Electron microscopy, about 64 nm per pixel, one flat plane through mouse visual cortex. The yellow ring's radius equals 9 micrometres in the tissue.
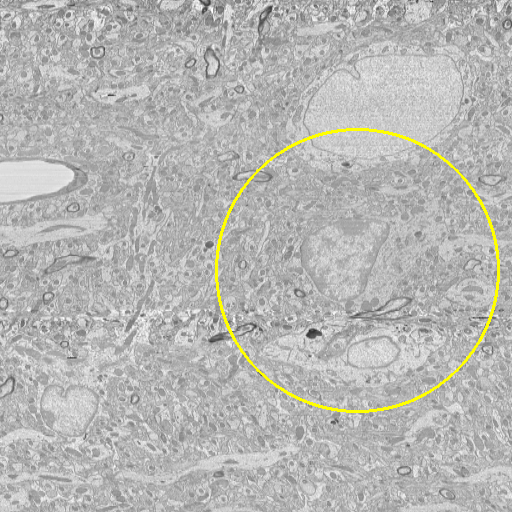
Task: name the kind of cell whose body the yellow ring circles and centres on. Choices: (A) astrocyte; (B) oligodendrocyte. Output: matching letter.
B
